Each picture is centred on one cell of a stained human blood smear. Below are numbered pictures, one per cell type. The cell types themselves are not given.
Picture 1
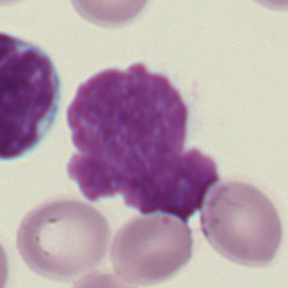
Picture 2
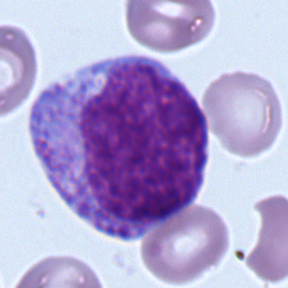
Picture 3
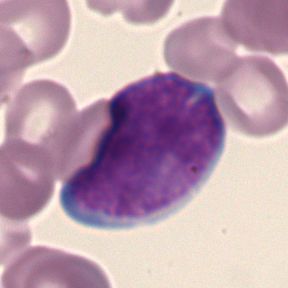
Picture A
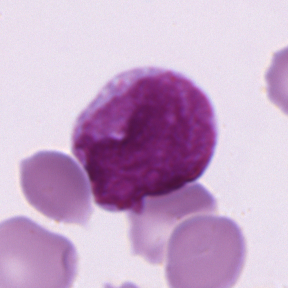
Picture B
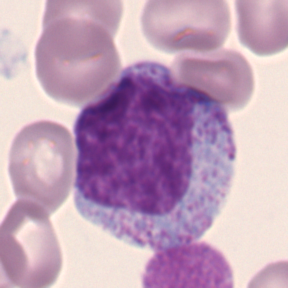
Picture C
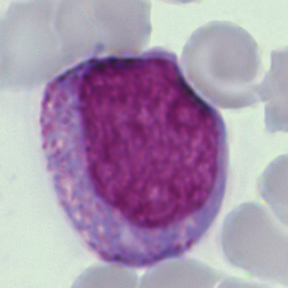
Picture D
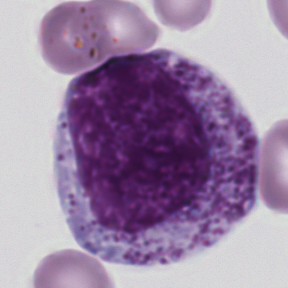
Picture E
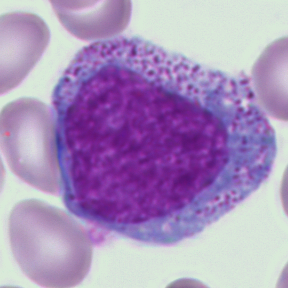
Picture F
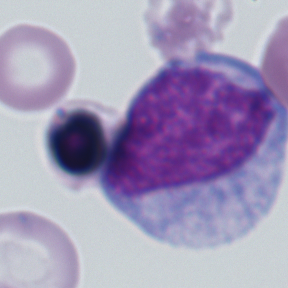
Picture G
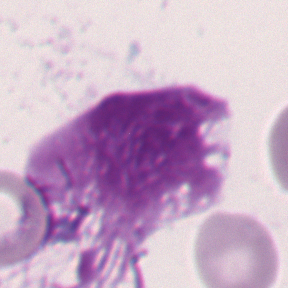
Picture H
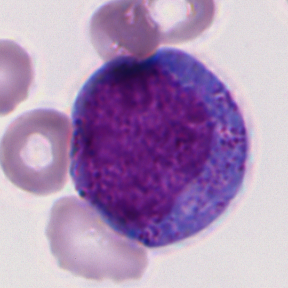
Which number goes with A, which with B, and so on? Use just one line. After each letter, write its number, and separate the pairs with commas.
A 3, B 2, C 2, D 2, E 2, F 2, G 1, H 2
